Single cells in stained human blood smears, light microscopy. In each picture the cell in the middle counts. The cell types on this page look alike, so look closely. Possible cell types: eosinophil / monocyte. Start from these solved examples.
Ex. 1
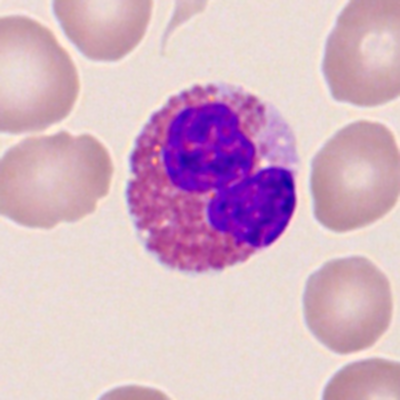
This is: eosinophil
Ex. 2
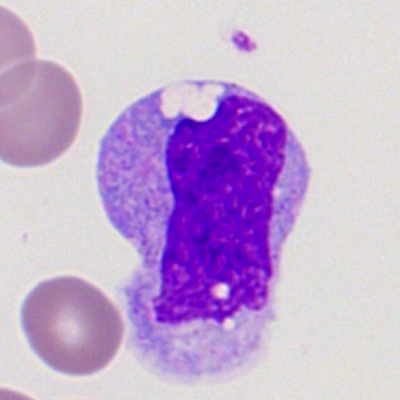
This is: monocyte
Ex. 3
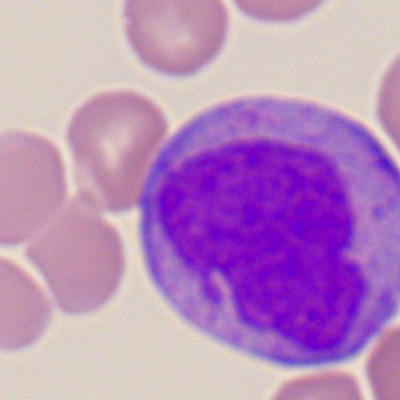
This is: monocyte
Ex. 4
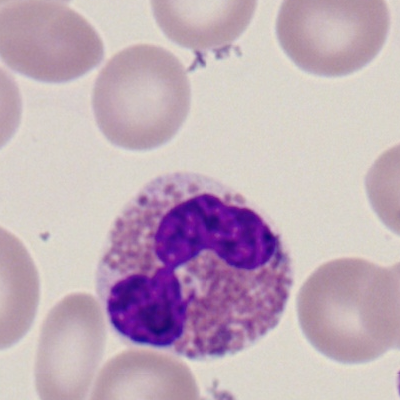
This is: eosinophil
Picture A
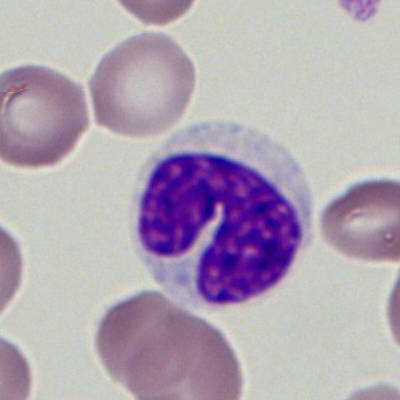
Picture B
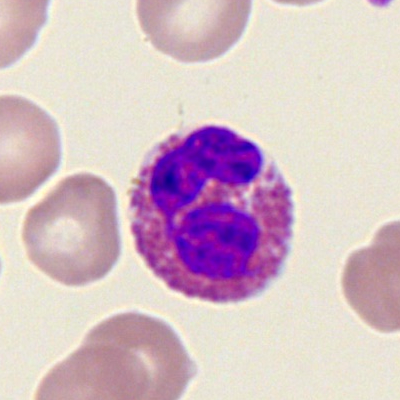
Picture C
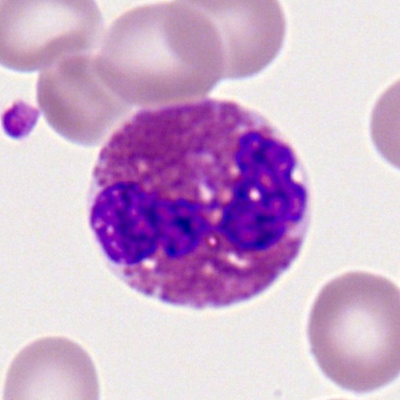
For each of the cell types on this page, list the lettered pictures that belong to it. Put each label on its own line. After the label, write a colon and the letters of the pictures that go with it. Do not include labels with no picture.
eosinophil: B, C
monocyte: A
